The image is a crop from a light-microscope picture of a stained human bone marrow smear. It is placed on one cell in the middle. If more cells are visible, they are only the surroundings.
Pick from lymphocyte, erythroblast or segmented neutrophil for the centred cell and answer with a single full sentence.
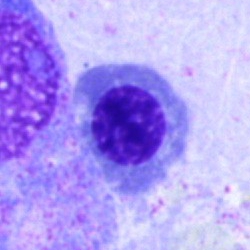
Occupying the centre of the crop is an erythroblast.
